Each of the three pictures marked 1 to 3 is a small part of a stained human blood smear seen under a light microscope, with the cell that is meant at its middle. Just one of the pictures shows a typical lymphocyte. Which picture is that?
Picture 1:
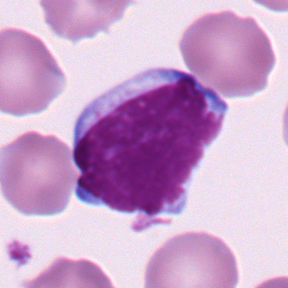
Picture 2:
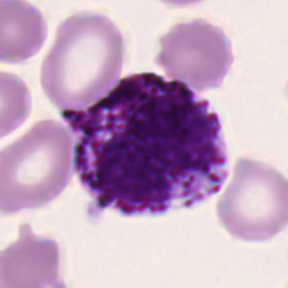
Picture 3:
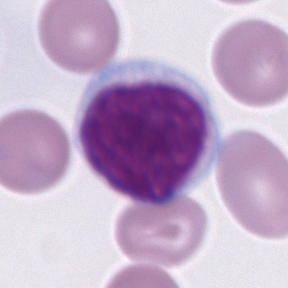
3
